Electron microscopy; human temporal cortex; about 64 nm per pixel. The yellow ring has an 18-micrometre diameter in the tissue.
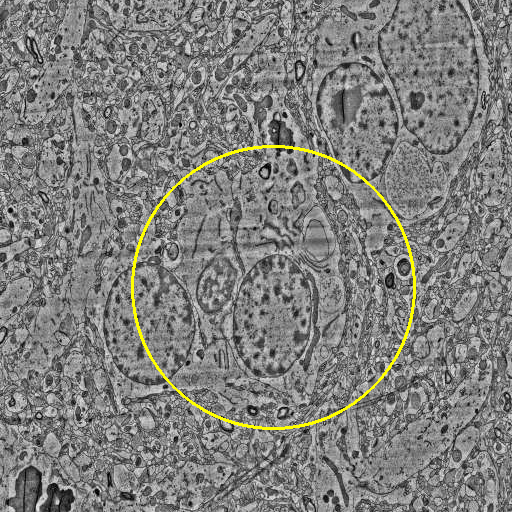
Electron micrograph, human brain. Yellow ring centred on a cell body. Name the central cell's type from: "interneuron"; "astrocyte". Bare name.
astrocyte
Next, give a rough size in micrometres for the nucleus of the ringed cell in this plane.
In this plane the nucleus is about 7 micrometres by 5.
